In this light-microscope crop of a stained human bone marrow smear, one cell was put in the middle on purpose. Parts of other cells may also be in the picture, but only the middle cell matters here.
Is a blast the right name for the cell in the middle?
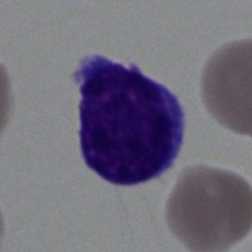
no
